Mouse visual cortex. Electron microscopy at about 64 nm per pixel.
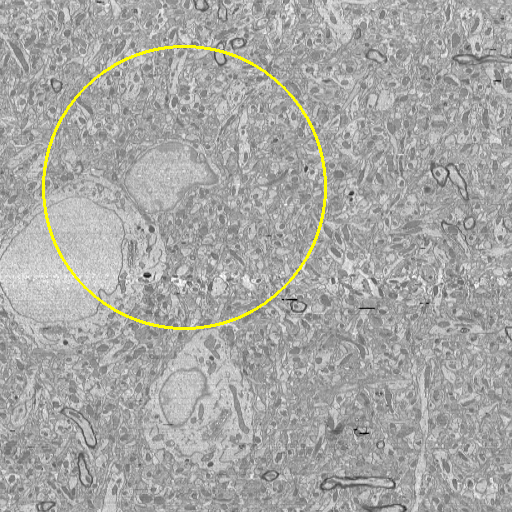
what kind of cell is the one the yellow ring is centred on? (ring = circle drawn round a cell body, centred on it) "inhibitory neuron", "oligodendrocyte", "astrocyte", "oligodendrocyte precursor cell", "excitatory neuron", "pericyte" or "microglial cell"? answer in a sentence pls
The ring is drawn around an oligodendrocyte precursor cell.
